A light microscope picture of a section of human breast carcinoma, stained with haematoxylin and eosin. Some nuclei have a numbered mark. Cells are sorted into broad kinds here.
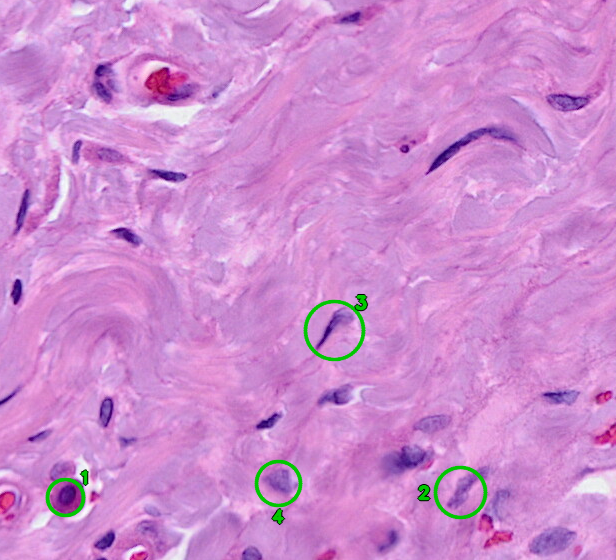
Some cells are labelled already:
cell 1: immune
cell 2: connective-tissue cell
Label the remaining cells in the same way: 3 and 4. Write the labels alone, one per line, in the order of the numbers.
connective-tissue cell
connective-tissue cell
